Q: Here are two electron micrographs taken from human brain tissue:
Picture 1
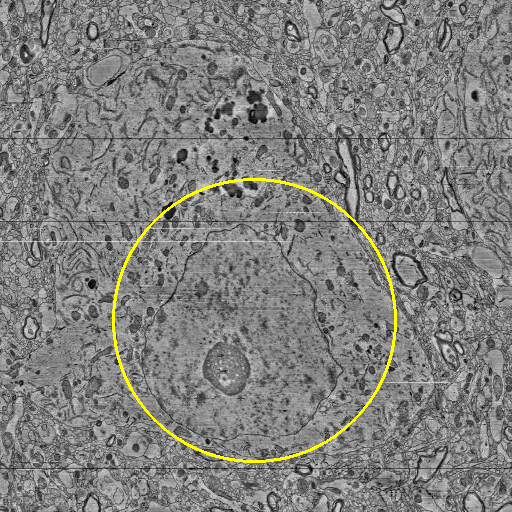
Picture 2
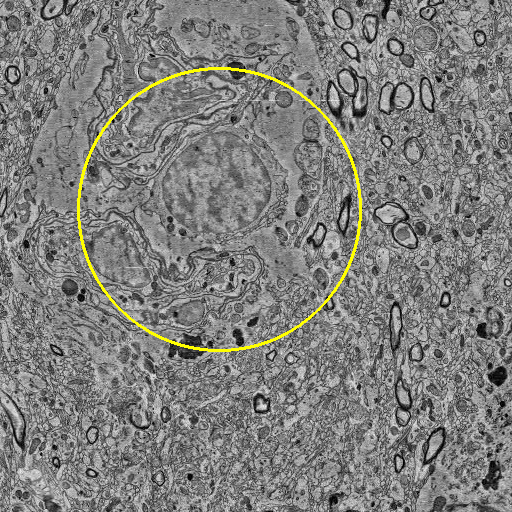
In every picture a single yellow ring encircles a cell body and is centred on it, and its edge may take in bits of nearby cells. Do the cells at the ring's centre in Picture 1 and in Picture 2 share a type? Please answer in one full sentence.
No, the cells at the ring's centre in Picture 1 and Picture 2 are of two types.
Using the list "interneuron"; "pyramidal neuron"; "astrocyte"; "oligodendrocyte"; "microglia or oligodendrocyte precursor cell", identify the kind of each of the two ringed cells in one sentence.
The first is a pyramidal neuron and the second is an oligodendrocyte.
